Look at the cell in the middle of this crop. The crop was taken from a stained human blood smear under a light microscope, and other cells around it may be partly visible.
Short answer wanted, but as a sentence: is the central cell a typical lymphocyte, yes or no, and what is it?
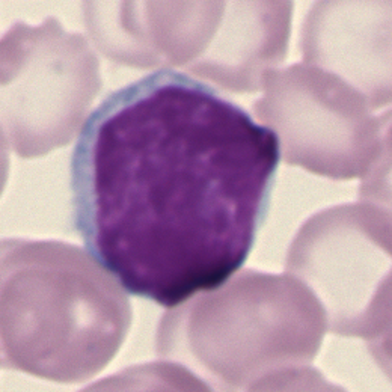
Yes, the cell at the midpoint of the crop is a typical lymphocyte.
